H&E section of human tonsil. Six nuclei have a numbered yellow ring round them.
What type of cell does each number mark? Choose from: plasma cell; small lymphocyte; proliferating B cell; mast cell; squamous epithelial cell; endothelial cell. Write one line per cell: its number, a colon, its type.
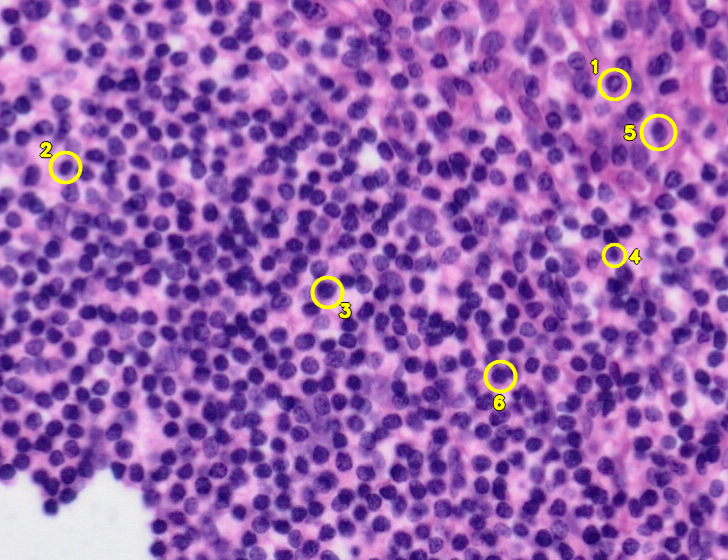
1: plasma cell
2: small lymphocyte
3: small lymphocyte
4: small lymphocyte
5: plasma cell
6: small lymphocyte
